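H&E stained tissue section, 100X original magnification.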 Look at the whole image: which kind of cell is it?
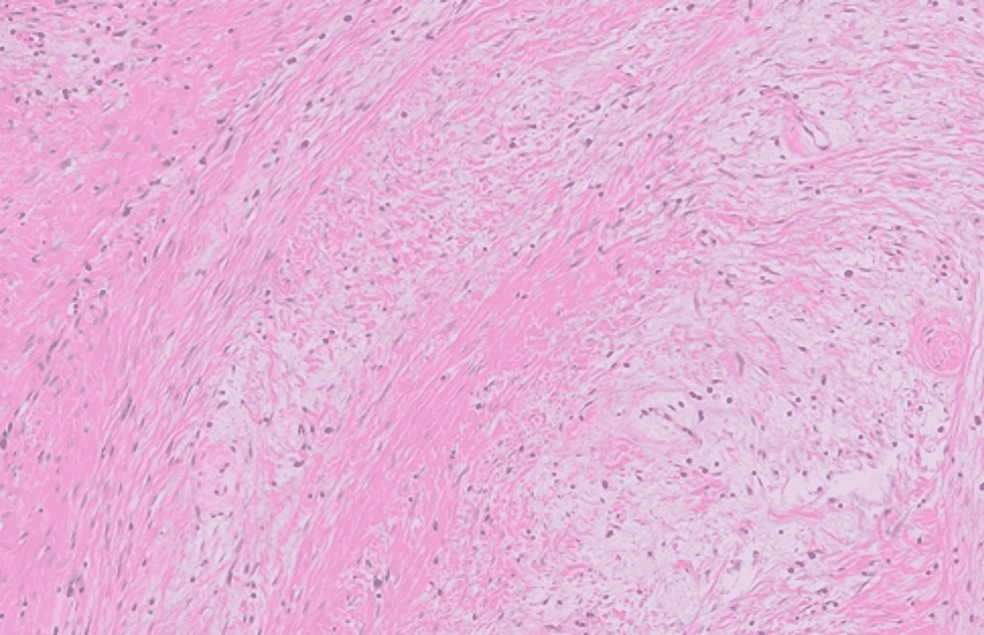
Bland spindle cells.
